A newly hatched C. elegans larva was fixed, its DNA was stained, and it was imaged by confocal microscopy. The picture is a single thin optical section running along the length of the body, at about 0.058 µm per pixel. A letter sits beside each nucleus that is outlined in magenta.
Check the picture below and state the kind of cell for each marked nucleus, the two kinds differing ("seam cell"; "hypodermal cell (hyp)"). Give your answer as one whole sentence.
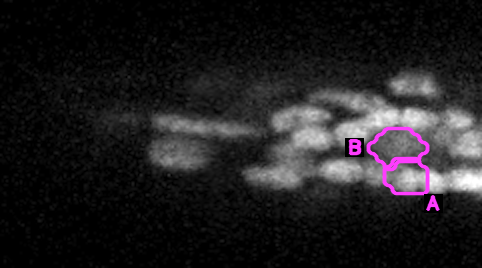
A is the nucleus of a hypodermal cell (hyp); B is the nucleus of a seam cell.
